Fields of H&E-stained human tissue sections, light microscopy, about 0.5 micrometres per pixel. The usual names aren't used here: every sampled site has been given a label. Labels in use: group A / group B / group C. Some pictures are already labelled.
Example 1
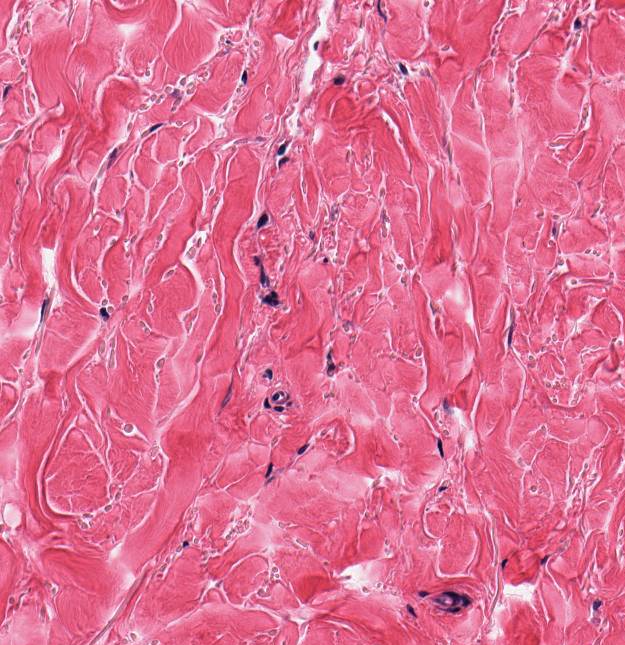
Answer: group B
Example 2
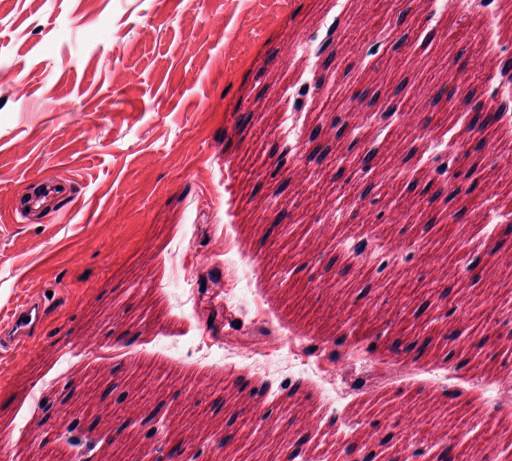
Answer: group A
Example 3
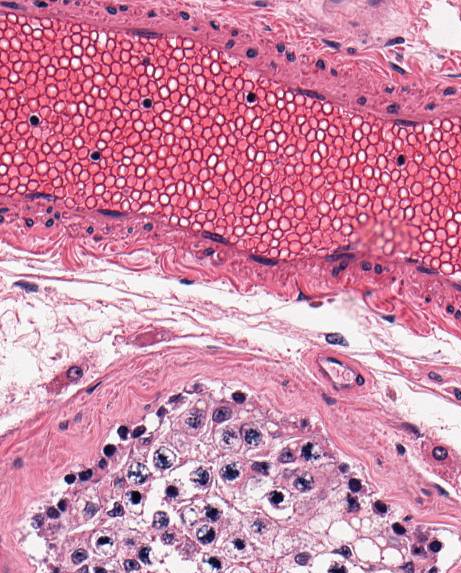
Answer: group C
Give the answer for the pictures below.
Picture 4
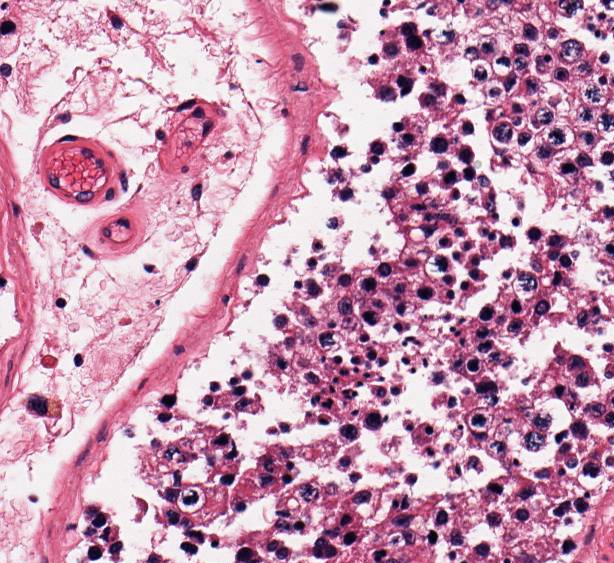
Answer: group C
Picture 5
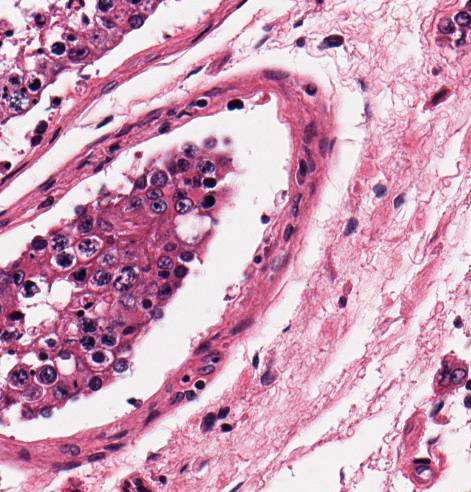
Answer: group C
